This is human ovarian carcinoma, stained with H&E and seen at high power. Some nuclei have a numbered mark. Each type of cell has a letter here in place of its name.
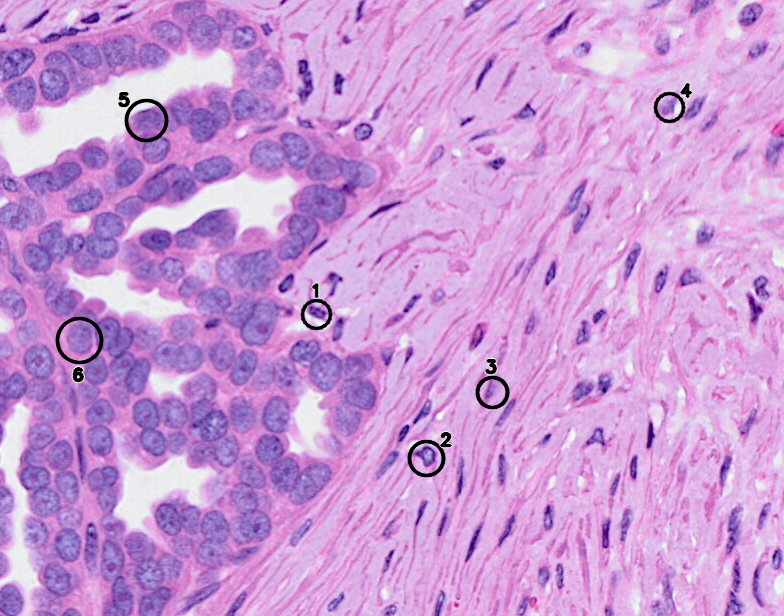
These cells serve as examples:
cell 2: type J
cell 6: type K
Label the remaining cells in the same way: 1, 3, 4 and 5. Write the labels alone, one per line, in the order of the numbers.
type J
type J
type J
type K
